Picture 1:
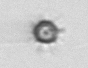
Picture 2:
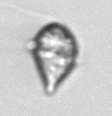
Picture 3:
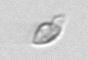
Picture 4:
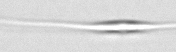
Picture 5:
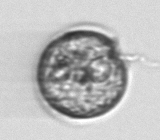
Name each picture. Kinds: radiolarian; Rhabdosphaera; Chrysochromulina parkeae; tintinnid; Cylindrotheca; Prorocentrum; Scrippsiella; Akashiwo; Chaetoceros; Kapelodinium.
Picture 1: Rhabdosphaera
Picture 2: Scrippsiella
Picture 3: Kapelodinium
Picture 4: Cylindrotheca
Picture 5: Prorocentrum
